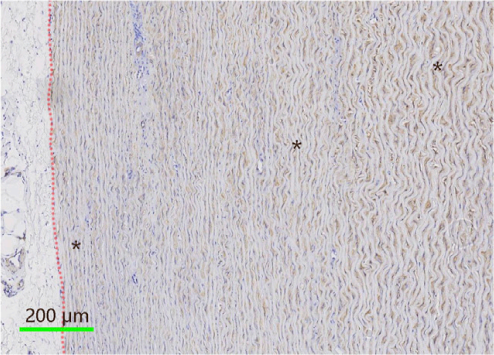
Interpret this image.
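This section of an arterial wall shows the media layer made of smooth muscle cells arranged in many tightly packed, wavy parallel layers. The layered wall is stained brown, and elongated blue nuclei lie between the wavy lamellae, oriented along them.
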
